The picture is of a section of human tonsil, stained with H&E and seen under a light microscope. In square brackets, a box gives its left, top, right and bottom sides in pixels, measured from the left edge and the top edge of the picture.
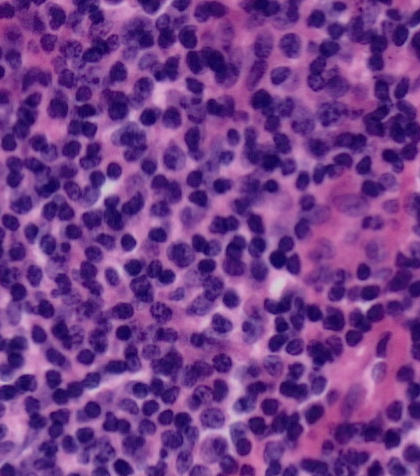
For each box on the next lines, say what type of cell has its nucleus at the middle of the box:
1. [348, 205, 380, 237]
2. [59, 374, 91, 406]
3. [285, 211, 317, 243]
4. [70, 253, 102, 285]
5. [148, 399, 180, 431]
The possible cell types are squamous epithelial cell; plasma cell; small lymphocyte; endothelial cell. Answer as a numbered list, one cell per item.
1. endothelial cell
2. small lymphocyte
3. endothelial cell
4. small lymphocyte
5. small lymphocyte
